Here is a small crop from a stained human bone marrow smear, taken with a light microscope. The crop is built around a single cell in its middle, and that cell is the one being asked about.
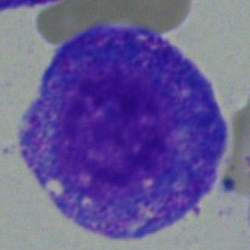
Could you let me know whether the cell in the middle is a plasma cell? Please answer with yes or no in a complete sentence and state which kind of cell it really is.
No, the central cell qualifies as a promyelocyte rather than as a plasma cell.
